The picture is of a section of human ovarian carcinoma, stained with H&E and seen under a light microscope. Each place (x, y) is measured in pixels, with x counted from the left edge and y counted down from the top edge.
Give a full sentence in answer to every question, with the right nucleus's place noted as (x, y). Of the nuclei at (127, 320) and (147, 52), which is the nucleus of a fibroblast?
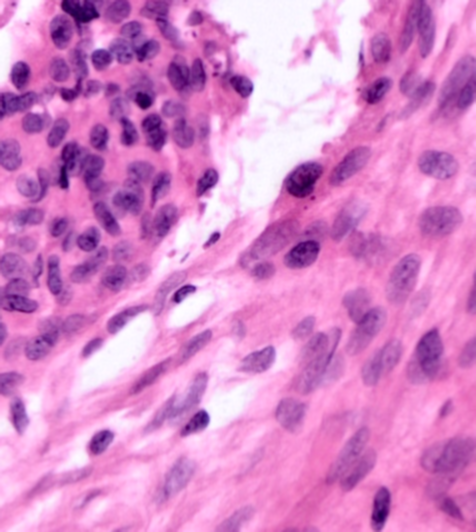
It is the nucleus at (127, 320) that belongs to a fibroblast.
